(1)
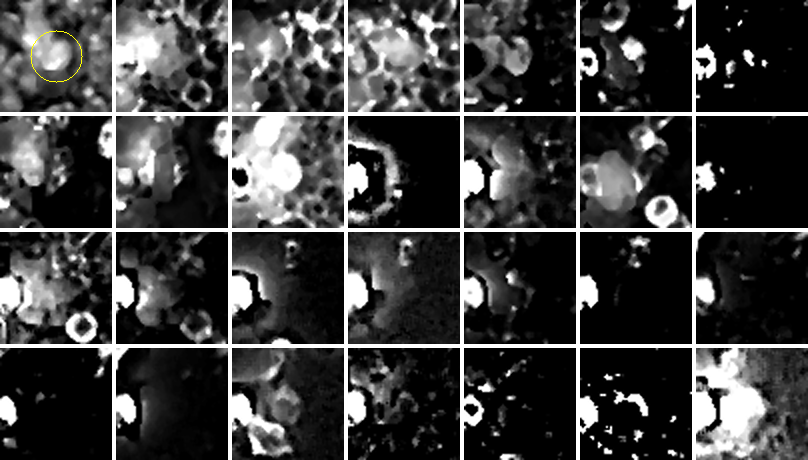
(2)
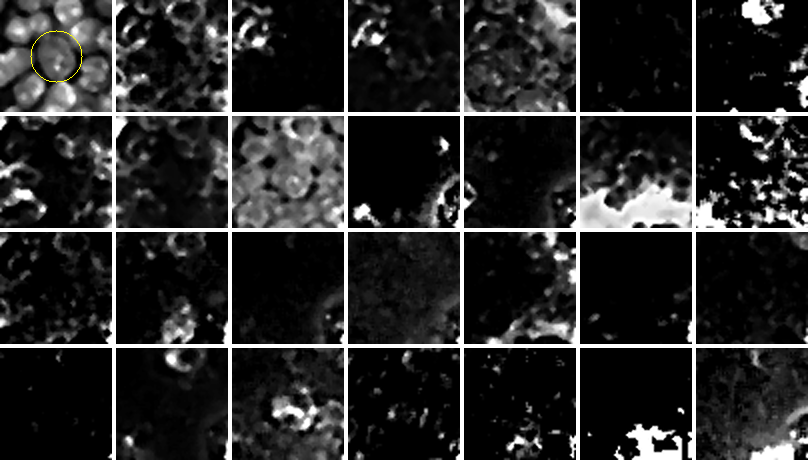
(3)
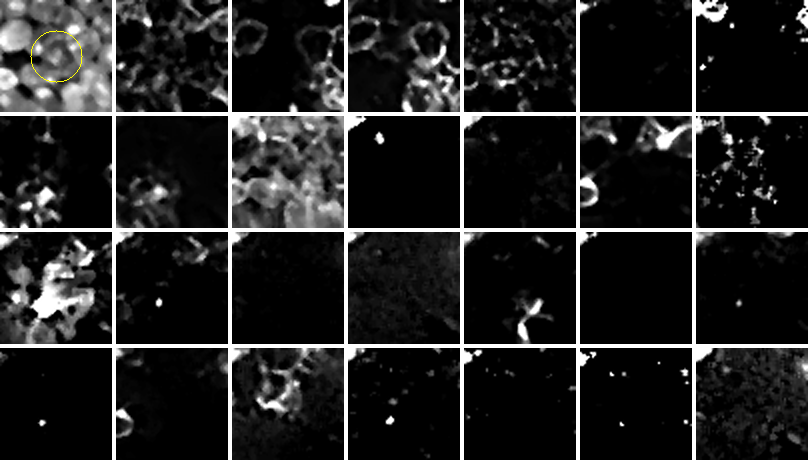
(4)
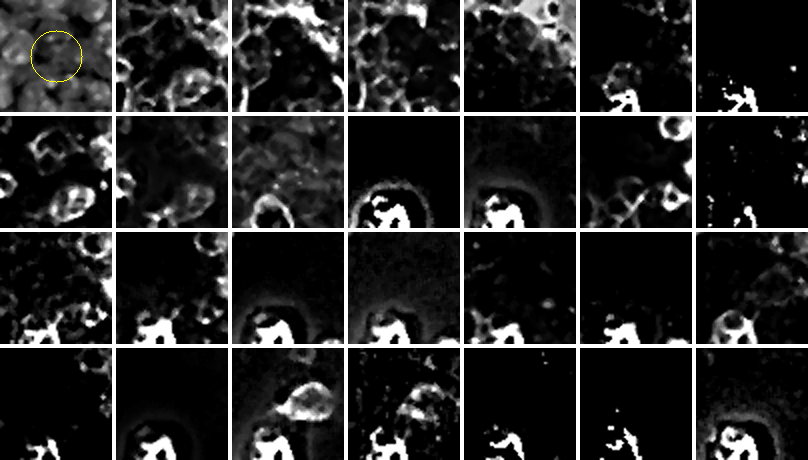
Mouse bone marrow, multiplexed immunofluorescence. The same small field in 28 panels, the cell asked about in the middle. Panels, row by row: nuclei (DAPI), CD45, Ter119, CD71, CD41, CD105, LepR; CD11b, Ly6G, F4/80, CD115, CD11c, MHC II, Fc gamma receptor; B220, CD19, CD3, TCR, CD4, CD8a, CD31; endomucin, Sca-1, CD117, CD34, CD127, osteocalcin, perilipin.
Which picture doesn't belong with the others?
Picture 1.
